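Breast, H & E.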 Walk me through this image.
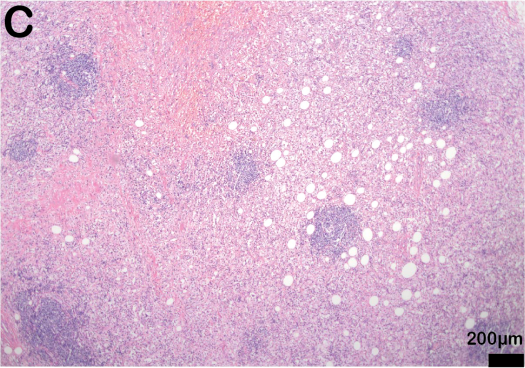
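At low power the mass shows an alternating pattern of pale, lightly stained areas and darker blue zones. The dark zones are rounded clusters of densely packed small cells with dark nuclei. Scattered round empty spaces, fat vacuoles, are seen throughout the tissue.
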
